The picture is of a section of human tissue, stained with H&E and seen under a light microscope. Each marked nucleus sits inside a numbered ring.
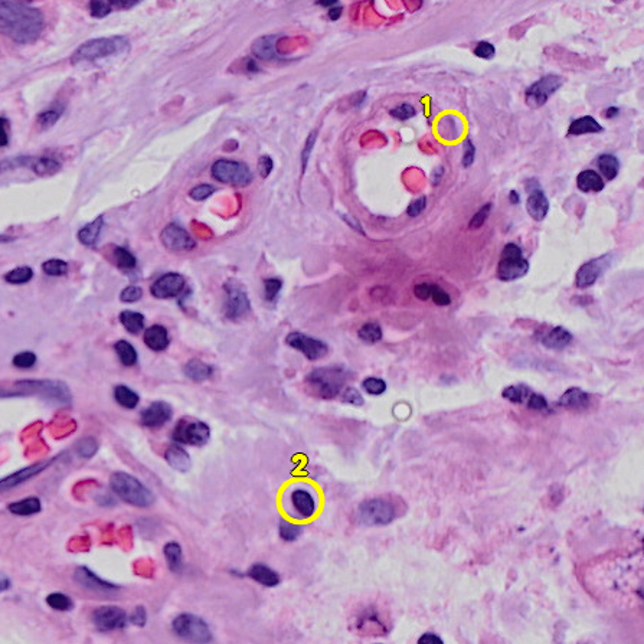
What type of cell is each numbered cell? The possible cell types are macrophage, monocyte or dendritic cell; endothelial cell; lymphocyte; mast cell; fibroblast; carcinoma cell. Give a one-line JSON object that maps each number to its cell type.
{"1": "endothelial cell", "2": "lymphocyte"}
